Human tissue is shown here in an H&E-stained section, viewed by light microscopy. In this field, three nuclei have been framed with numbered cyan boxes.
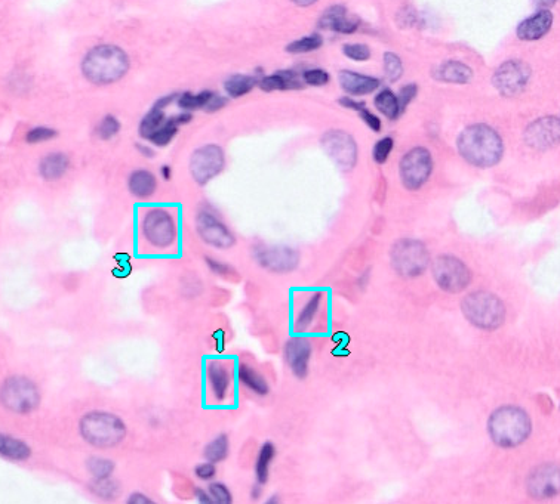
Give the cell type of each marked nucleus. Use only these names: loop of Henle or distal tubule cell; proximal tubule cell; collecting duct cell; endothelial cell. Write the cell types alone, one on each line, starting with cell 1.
endothelial cell
endothelial cell
proximal tubule cell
